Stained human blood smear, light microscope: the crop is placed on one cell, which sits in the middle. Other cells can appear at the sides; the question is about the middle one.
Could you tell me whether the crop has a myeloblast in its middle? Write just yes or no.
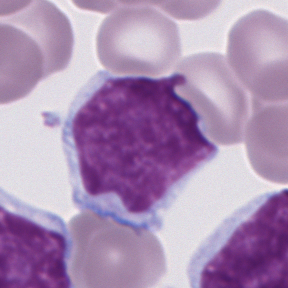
no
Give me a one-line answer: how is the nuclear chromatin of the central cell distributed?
Chromatin texture is fine, and coarse clumps are absent.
